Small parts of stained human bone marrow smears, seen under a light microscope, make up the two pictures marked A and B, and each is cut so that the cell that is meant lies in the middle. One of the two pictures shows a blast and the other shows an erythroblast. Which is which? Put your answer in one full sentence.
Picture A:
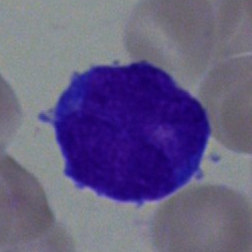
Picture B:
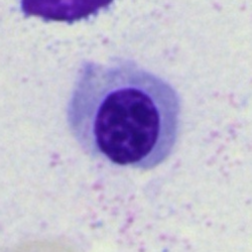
In picture A the cell is a blast; in picture B, an erythroblast.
